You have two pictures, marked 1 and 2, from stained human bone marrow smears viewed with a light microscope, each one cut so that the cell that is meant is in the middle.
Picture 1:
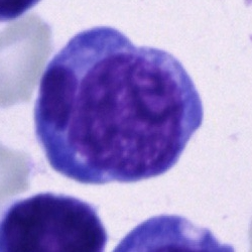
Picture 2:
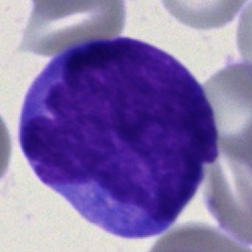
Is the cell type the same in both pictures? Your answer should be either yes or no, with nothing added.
yes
